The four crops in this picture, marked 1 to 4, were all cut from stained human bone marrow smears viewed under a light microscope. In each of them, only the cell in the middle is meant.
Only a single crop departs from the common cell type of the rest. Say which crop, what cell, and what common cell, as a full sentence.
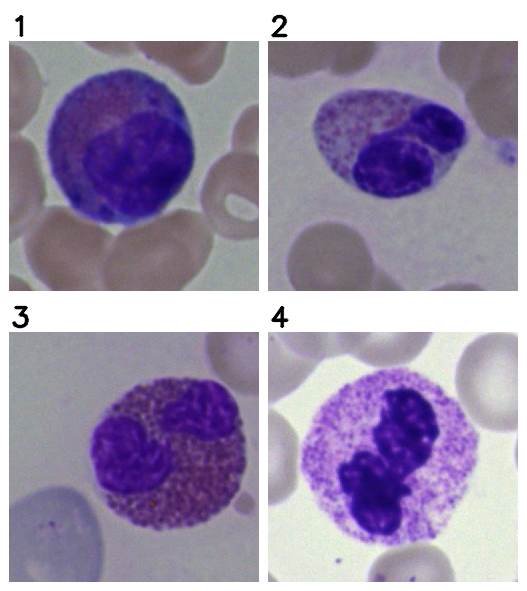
Every crop but one shows eosinophils; the exception, crop 4, shows a segmented neutrophil.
